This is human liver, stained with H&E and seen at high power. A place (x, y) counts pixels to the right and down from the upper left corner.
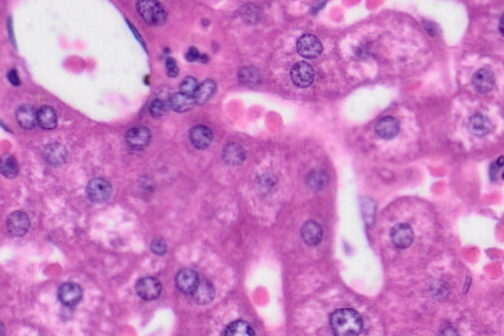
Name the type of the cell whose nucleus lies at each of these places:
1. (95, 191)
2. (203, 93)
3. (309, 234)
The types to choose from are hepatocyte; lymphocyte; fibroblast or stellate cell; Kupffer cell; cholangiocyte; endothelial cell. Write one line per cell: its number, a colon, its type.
1: hepatocyte
2: cholangiocyte
3: hepatocyte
